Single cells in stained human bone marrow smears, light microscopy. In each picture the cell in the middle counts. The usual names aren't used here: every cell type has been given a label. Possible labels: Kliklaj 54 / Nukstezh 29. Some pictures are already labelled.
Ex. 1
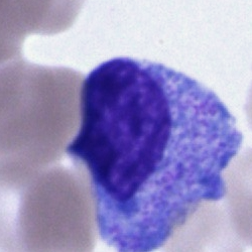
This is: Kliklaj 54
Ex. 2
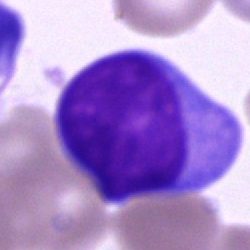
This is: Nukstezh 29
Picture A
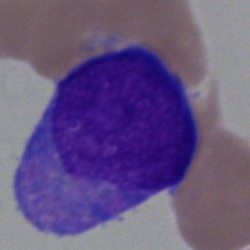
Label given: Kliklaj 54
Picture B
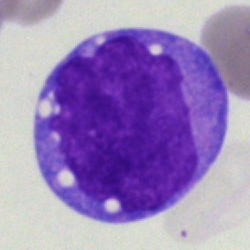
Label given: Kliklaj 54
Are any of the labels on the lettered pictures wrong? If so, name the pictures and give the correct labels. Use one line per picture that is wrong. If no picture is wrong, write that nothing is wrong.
Wrong: A (Kliklaj 54); correct: Nukstezh 29
Wrong: B (Kliklaj 54); correct: Nukstezh 29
